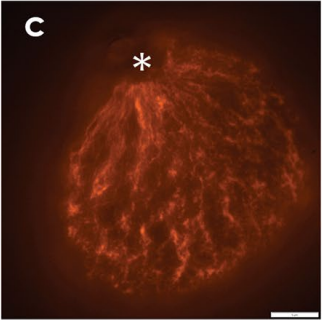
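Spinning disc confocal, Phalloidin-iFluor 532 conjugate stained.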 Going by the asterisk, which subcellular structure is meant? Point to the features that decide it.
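Germination pore. The asterisk sits at the edge of the grain. Orange filaments converge toward the spot under the asterisk and fan out across the grain.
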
